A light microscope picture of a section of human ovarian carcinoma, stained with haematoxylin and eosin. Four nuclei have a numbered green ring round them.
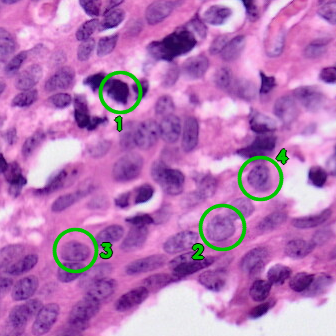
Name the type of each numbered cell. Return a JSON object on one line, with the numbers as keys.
{"1": "carcinoma cell", "2": "carcinoma cell", "3": "carcinoma cell", "4": "macrophage or monocyte"}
